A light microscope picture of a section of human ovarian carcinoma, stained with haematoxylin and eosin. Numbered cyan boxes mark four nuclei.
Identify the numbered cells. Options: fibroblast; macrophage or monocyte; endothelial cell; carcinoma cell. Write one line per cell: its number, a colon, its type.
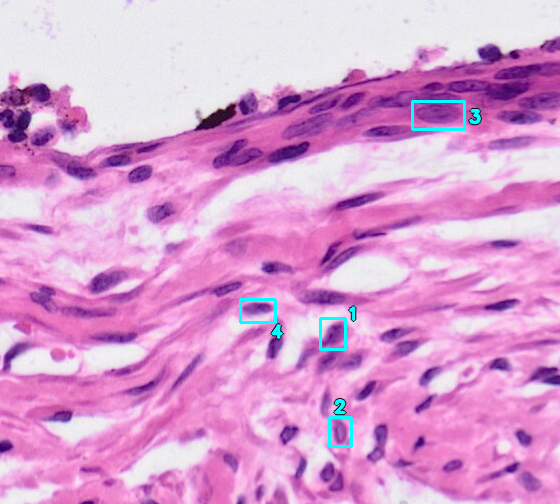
1: fibroblast
2: fibroblast
3: endothelial cell
4: fibroblast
